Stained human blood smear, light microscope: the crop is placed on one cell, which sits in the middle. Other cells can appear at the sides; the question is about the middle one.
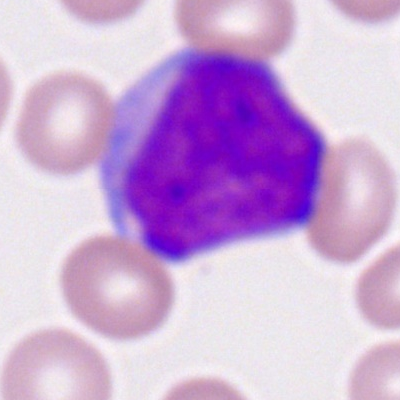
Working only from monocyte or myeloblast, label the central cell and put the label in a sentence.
The centrally placed cell is classified as a myeloblast.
